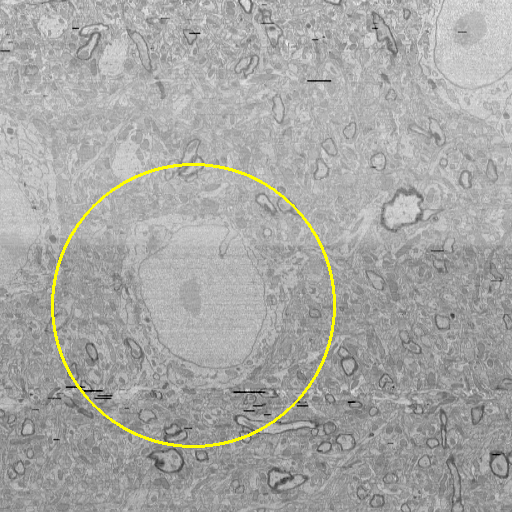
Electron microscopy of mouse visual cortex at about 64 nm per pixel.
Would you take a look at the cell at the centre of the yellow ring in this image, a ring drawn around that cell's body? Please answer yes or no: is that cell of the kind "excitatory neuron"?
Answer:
yes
